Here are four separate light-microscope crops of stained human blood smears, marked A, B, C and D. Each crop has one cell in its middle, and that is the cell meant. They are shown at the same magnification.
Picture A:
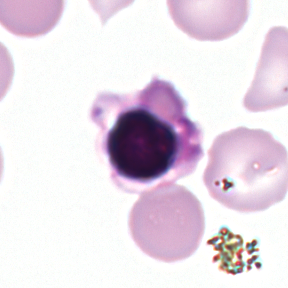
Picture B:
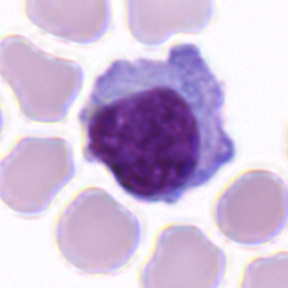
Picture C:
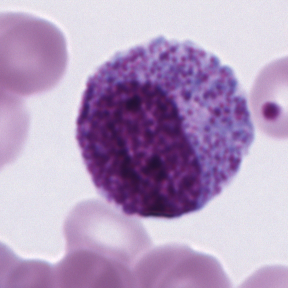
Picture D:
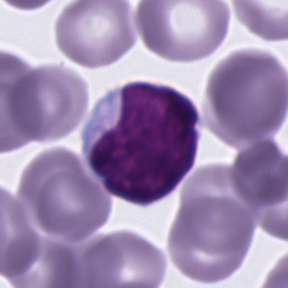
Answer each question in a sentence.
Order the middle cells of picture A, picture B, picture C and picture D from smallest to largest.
The order is A, D, B, C, beginning with the smallest.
